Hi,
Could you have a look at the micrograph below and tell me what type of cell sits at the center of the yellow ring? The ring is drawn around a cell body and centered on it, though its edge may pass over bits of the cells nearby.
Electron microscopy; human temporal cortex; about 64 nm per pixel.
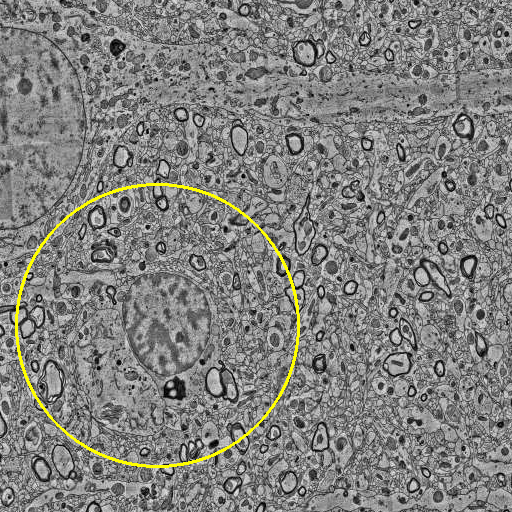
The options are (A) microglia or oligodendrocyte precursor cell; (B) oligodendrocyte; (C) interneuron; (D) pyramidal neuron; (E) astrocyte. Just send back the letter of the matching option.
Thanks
B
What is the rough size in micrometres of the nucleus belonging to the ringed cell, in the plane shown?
Roughly 7 micrometres by 6 micrometres, in this plane.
